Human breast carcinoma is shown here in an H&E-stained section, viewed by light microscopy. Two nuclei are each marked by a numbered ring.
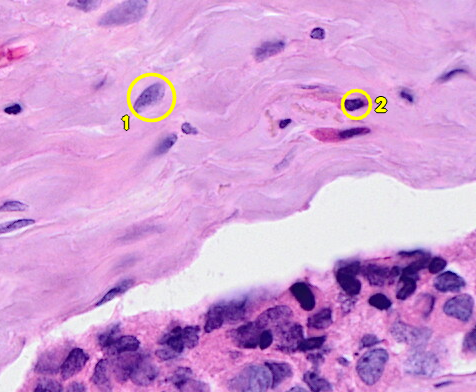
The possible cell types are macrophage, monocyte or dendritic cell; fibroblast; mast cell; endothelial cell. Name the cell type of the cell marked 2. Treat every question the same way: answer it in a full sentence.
Classified as a mast cell is the cell with the number 2.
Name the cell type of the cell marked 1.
The cell tagged with 1 in this tissue section is a fibroblast.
